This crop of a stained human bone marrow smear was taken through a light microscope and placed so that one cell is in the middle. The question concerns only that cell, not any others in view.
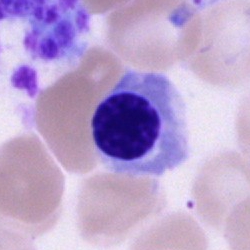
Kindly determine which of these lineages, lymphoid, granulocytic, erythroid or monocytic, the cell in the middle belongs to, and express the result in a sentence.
The cell at the center of this crop is categorized as erythroid in lineage.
